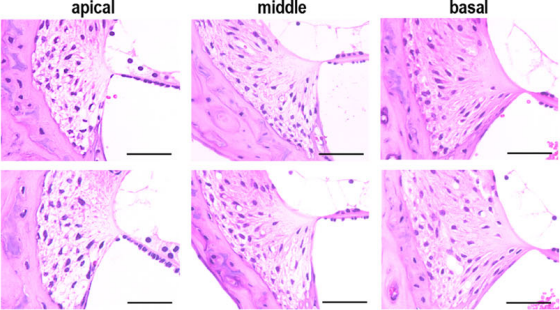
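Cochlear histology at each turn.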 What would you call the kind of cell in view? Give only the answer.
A: fibrocytes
